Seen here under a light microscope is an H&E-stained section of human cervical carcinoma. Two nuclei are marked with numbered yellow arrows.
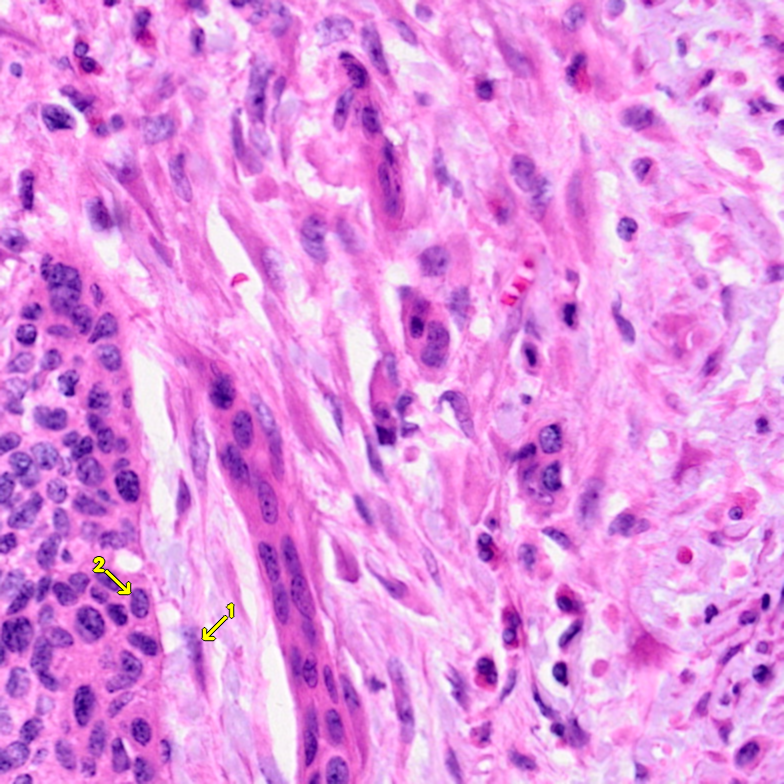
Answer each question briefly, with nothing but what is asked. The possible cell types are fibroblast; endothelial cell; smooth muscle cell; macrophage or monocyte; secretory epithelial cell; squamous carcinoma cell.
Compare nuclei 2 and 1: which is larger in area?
1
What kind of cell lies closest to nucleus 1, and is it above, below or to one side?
a squamous carcinoma cell; to the left of nucleus 1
